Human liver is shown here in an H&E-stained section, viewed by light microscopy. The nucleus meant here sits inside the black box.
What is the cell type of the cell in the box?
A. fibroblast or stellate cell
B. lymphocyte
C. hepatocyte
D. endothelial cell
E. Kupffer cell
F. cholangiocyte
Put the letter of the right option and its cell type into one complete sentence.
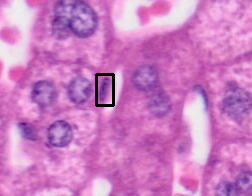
Among the choices, option E is correct, the cell in the box being a Kupffer cell.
